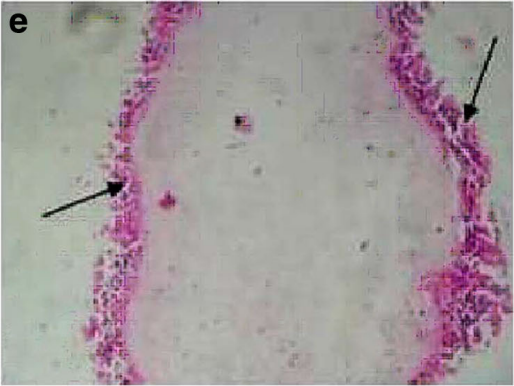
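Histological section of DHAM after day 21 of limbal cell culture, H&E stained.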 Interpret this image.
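The membrane itself is a broad, pale, almost featureless band with scarcely any cells inside it. Along each edge lies a band of pink-staining cells several cells thick, with small dark purple nuclei packed closely together. The cell layer is uneven: in places it thickens into small heaps, and its outer margin is ragged. A few isolated stained bodies lie loose within the pale band.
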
